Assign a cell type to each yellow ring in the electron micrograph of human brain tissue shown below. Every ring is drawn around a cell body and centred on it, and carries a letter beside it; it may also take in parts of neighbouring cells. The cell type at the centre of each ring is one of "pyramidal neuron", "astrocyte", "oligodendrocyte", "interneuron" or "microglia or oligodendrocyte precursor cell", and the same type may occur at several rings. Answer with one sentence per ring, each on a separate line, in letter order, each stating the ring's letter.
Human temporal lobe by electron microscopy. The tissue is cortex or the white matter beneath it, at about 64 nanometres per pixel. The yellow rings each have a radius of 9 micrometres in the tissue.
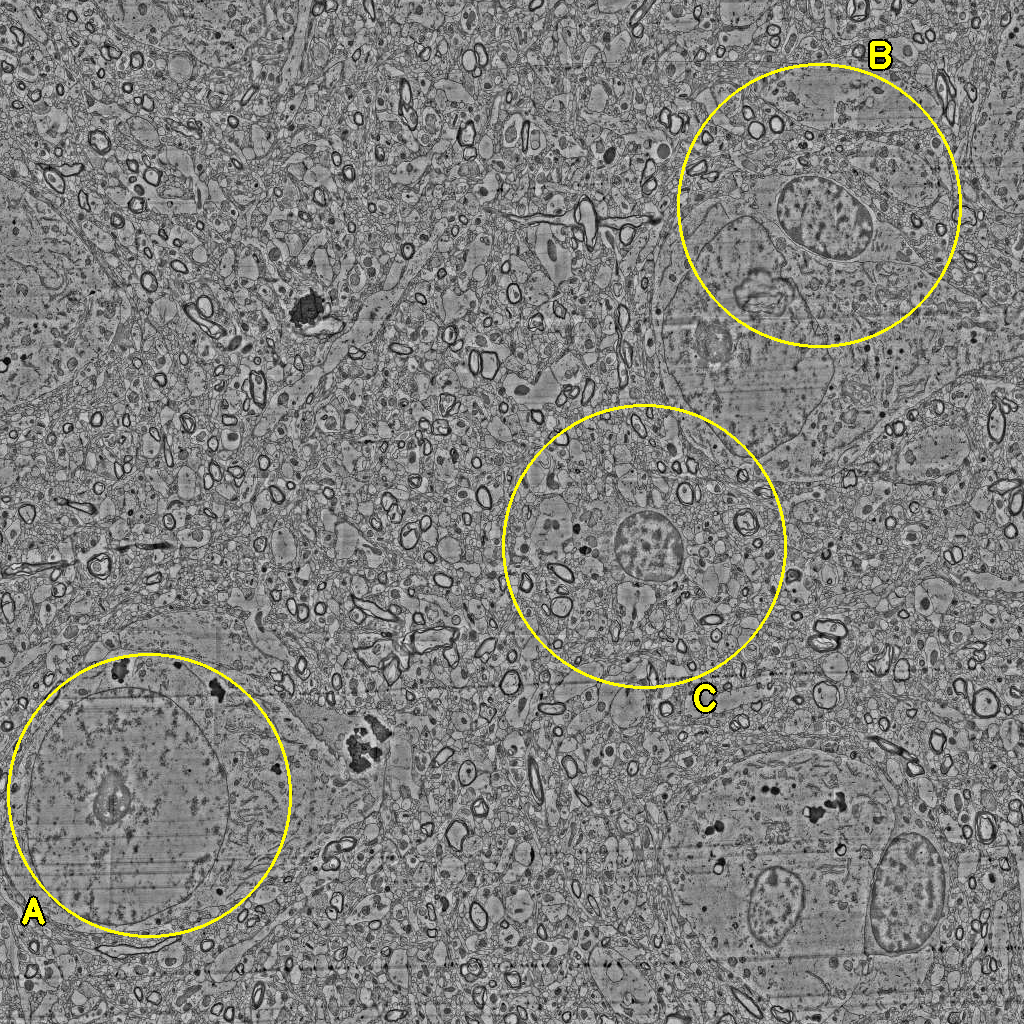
The cell at ring A's centre is a pyramidal neuron.
The cell at ring B's centre is a microglial cell or oligodendrocyte precursor cell.
The cell at ring C's centre is an oligodendrocyte.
